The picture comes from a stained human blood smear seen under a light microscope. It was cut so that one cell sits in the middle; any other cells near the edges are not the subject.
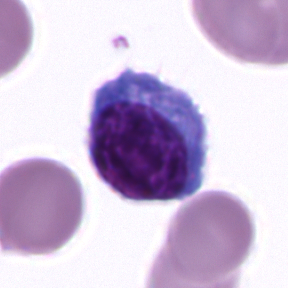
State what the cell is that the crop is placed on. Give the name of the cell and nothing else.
plasma cell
